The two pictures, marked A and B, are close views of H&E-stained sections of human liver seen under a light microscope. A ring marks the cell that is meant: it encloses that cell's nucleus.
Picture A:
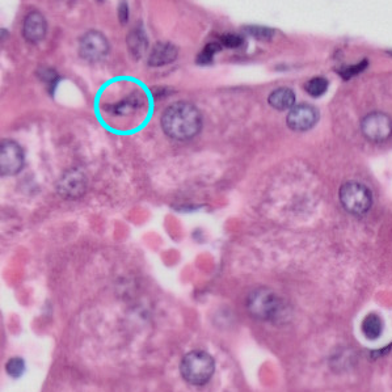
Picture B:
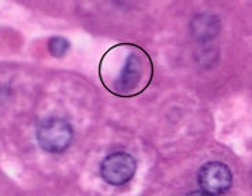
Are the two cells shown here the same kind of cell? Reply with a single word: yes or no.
no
